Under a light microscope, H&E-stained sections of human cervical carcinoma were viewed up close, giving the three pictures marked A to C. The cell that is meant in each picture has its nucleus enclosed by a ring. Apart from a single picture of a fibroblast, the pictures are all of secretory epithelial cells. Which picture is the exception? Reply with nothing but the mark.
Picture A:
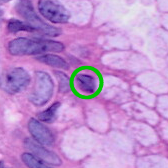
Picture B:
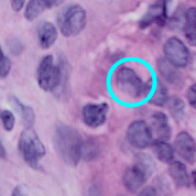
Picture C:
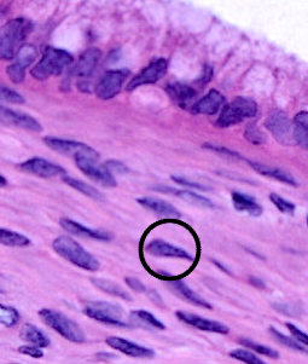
C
